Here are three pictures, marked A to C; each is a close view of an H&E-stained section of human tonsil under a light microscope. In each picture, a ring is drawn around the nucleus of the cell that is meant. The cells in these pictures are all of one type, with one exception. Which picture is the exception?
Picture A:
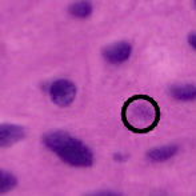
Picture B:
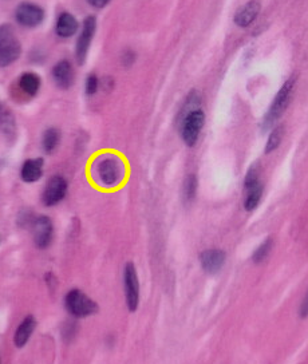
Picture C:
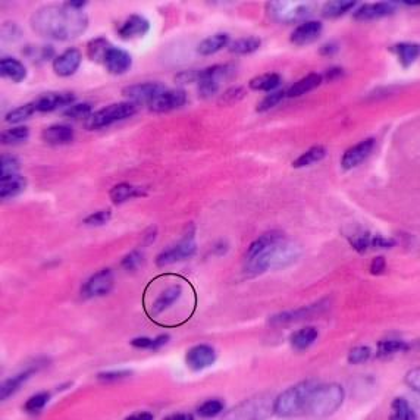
A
